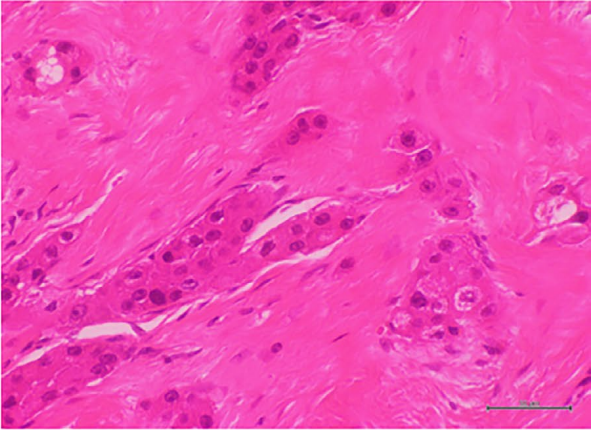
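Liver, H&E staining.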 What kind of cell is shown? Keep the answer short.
Atypical cells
